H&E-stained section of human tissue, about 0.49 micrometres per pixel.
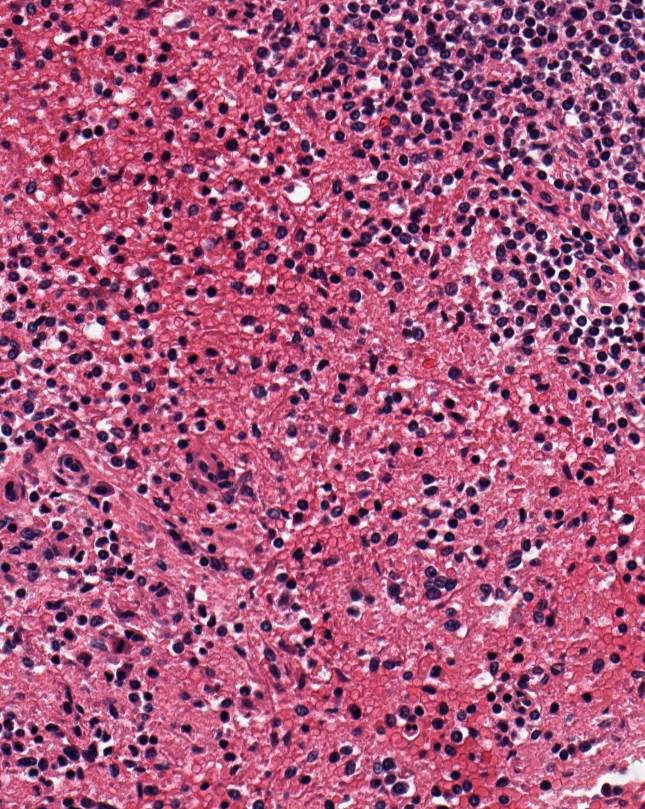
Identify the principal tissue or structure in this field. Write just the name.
red pulp of the spleen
